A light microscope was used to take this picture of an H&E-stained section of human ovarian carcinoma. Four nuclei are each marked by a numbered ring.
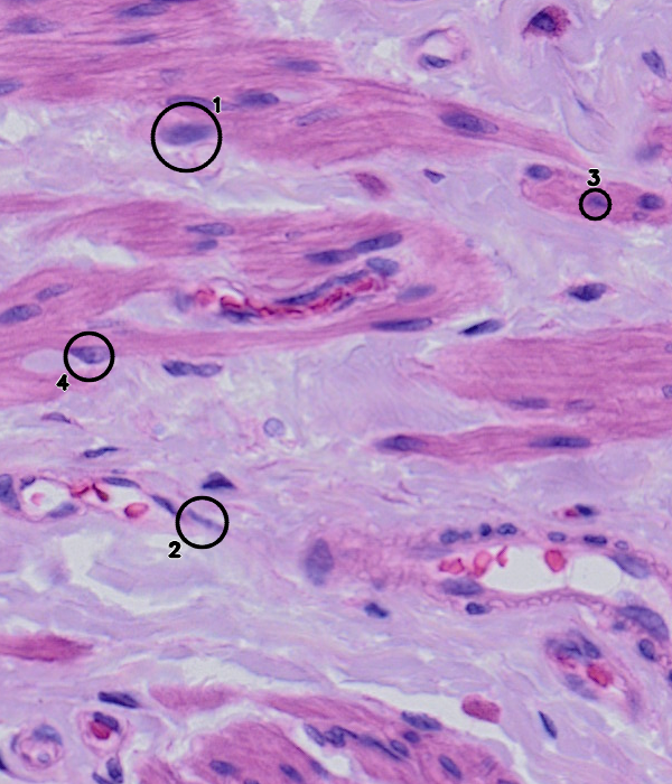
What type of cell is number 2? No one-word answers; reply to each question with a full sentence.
The cell referenced by the number 2 is a fibroblast in this field.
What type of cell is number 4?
The cell that bears the number 4 is a smooth muscle cell.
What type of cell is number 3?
Nucleus 3 in this section belongs to a smooth muscle cell.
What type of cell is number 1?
Among the marked cells, number 1 is a smooth muscle cell.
